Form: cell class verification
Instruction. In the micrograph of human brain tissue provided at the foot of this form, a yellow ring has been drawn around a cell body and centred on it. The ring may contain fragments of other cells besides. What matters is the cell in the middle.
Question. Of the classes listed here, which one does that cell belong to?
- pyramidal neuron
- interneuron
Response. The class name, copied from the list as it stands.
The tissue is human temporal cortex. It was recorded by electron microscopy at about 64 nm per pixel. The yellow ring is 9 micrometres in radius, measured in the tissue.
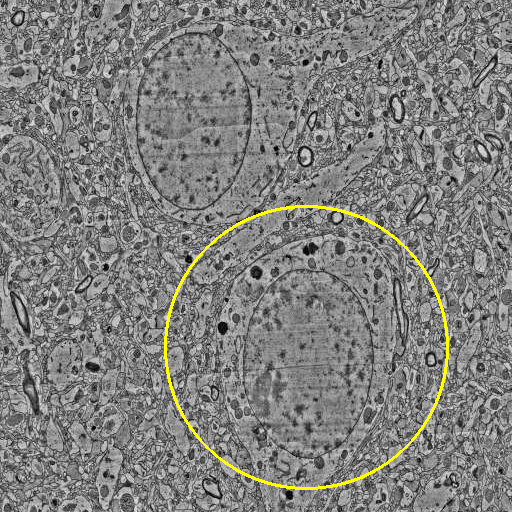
pyramidal neuron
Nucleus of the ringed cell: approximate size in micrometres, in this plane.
The ringed cell's nucleus is about 12 micrometres long and 9 micrometres wide in this plane.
